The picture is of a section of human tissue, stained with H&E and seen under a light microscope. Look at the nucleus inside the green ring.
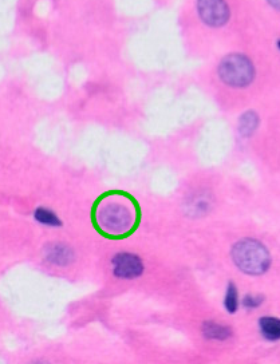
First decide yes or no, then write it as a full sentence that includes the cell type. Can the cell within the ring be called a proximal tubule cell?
Yes, to name the cell within the ring a proximal tubule cell is correct.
